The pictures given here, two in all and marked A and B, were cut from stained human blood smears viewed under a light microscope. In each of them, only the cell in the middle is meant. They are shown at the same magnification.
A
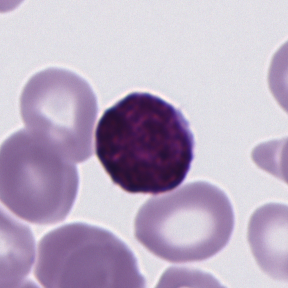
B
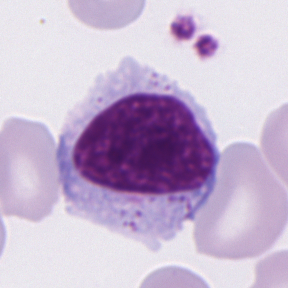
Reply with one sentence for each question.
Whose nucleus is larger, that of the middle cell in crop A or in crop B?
Crop B shows the larger nucleus; it covers about 1.5 times the area of the nucleus in crop A.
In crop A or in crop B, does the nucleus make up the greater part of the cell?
It is the cell in crop A that is filled more by its nucleus.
